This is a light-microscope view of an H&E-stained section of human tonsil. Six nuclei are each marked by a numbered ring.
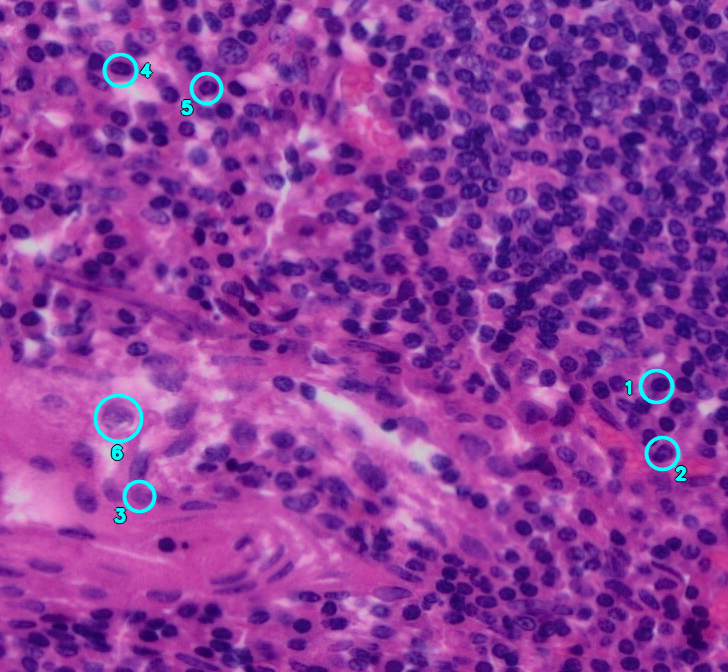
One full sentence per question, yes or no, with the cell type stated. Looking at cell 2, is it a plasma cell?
Yes, the cell carrying label 2 is a plasma cell.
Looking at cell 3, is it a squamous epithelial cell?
Yes, on this slide, the cell with number 3 is a squamous epithelial cell.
